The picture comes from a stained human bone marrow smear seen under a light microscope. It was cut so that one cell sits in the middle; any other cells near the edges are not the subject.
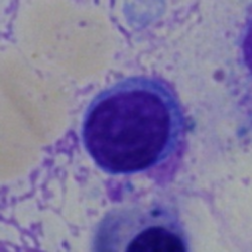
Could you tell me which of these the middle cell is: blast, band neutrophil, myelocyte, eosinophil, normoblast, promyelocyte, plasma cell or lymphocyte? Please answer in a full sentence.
As for the central cell, it is a normoblast.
